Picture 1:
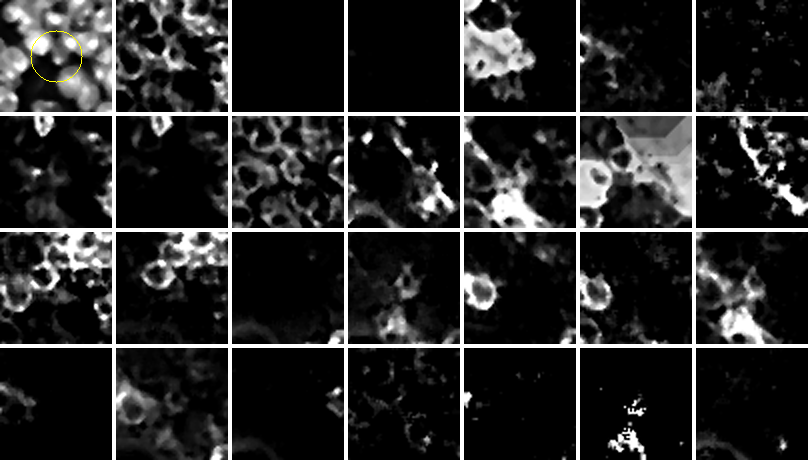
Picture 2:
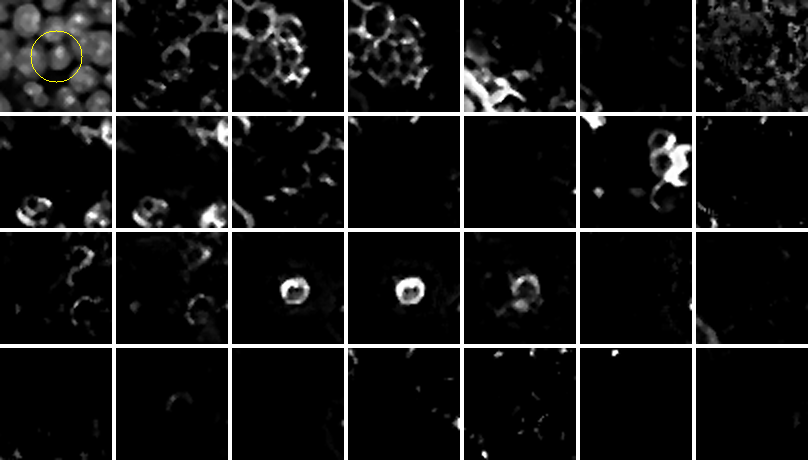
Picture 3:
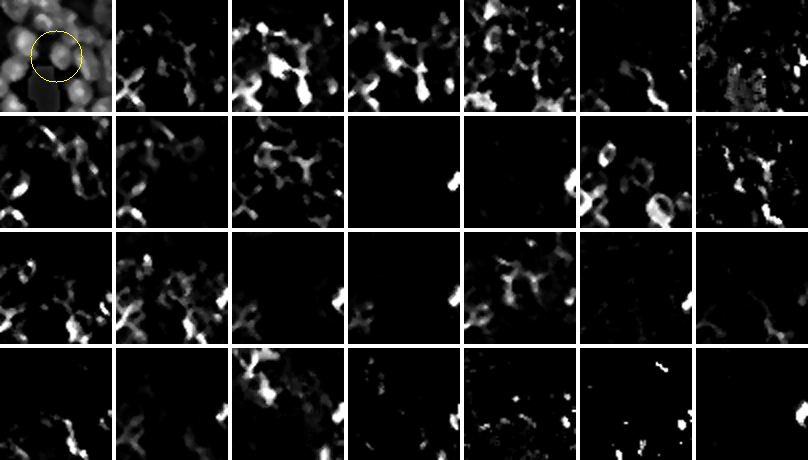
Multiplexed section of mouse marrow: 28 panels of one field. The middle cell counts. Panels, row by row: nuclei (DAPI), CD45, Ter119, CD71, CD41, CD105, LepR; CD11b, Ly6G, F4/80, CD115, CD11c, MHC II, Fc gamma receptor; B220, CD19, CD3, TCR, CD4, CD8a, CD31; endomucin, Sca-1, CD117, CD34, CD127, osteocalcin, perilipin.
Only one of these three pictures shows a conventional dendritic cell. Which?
Picture 1.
